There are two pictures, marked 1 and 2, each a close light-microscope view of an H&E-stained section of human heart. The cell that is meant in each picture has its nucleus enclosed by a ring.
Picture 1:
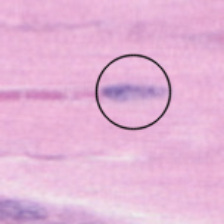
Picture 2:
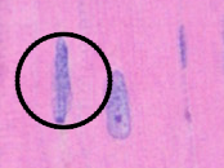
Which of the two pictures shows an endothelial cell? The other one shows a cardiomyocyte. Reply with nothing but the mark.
1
